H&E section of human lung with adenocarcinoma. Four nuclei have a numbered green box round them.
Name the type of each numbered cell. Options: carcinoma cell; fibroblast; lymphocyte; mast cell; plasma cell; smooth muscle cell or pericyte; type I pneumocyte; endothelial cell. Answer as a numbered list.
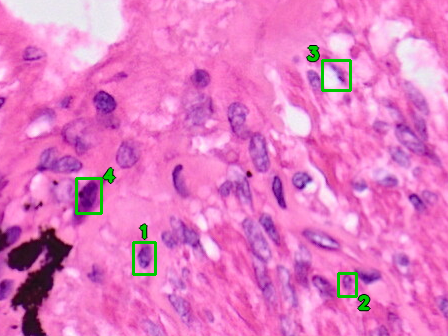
1. mast cell
2. mast cell
3. smooth muscle cell or pericyte
4. plasma cell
